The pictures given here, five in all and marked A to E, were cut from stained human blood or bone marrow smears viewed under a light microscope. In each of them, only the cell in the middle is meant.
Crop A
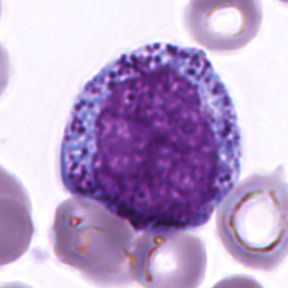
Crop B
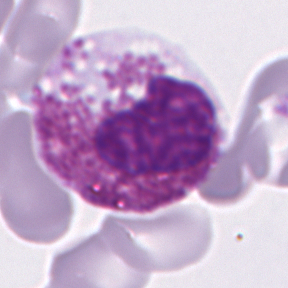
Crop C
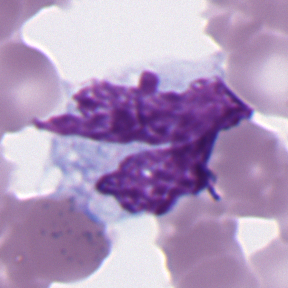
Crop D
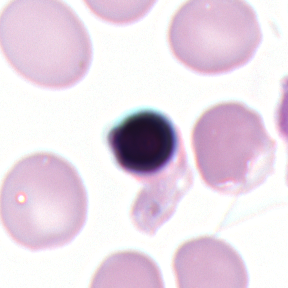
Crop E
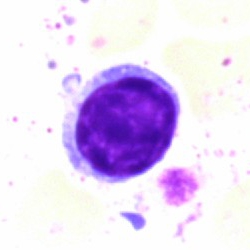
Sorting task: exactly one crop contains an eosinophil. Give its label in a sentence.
The crop marked B is the one that shows an eosinophil.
